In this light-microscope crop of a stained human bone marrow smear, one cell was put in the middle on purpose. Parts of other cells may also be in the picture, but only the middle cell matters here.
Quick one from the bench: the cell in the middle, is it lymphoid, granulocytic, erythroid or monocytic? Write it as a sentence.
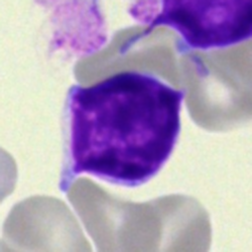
Originating in the lymphoid lineage is the cell at the center of the crop.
